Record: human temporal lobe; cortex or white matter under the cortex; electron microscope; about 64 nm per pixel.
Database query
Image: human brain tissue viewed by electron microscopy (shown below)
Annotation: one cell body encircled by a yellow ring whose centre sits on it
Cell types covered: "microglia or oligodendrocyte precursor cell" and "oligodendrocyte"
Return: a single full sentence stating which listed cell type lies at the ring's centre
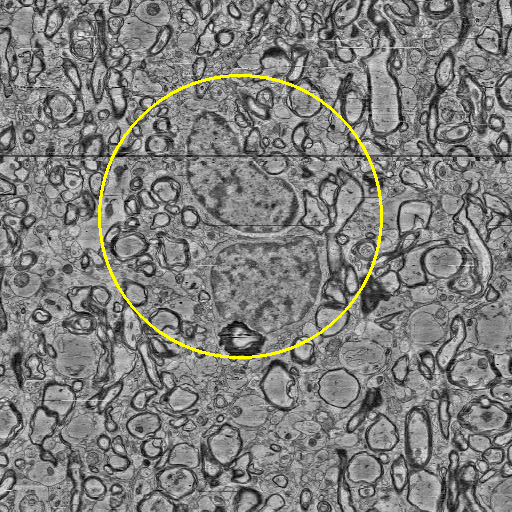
In the image, the cell lying at the ring's centre is a microglial cell or oligodendrocyte precursor cell.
